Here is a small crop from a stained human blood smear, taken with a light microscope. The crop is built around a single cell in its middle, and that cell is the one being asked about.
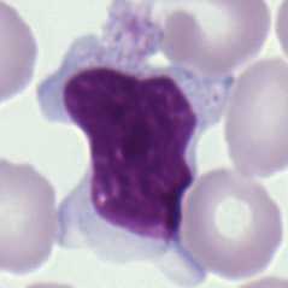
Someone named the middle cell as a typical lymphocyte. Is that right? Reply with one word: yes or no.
no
